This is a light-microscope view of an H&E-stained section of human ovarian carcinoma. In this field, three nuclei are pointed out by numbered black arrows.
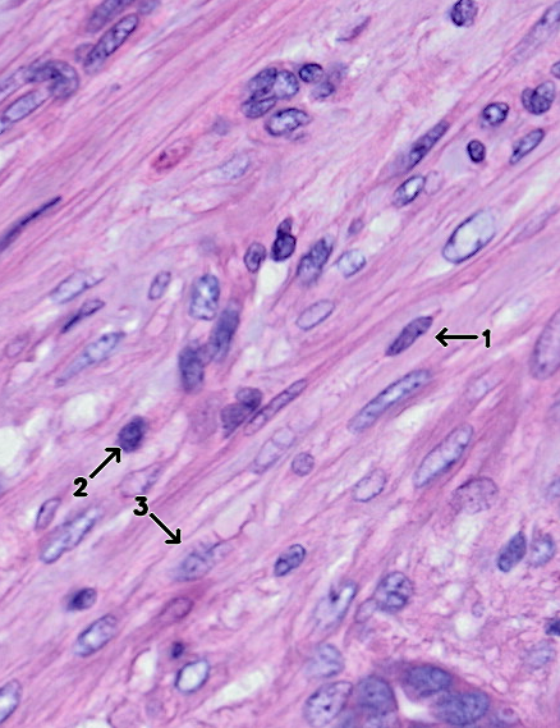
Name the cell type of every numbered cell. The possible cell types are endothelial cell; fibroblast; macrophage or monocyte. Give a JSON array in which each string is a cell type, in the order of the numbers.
["macrophage or monocyte", "macrophage or monocyte", "fibroblast"]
